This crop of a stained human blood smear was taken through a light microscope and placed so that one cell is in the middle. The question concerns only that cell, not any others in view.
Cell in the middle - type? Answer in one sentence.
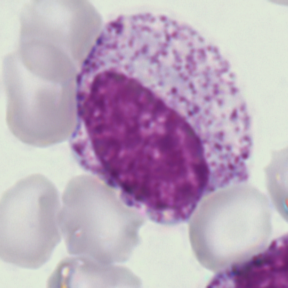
The cell in the middle of this crop is a myelocyte.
